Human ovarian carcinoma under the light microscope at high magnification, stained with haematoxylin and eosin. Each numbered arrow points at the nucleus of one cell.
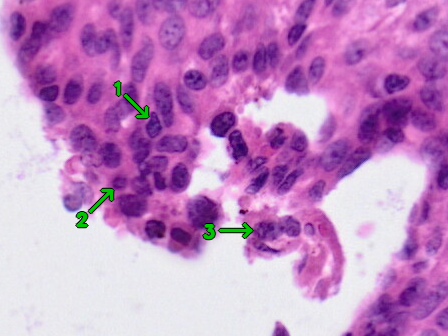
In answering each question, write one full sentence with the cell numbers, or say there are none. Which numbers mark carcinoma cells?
Cell 2 is a carcinoma cell; every other numbered cell is something else.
